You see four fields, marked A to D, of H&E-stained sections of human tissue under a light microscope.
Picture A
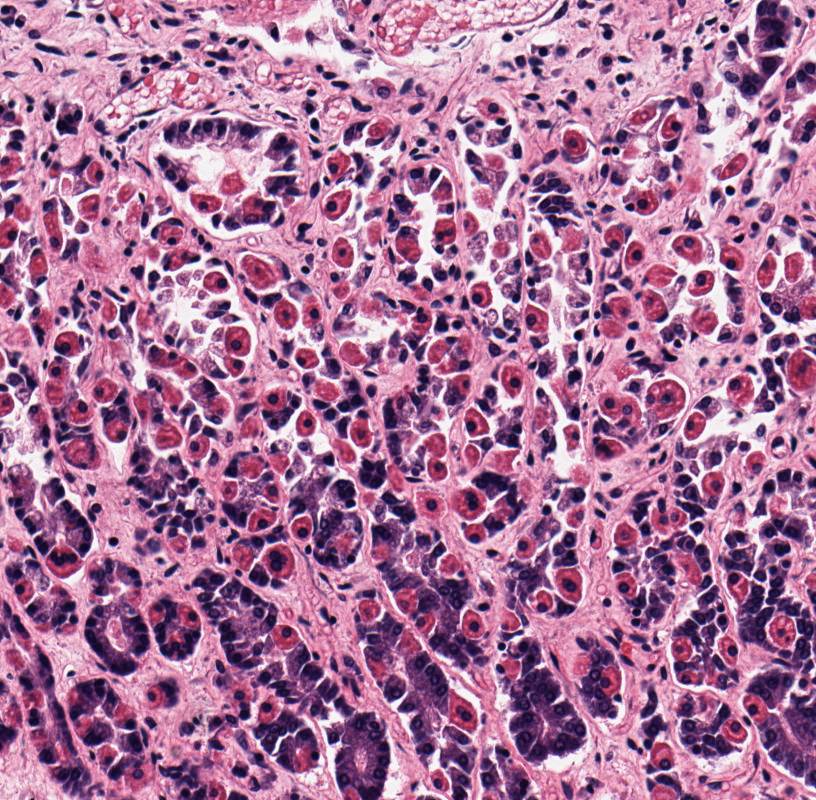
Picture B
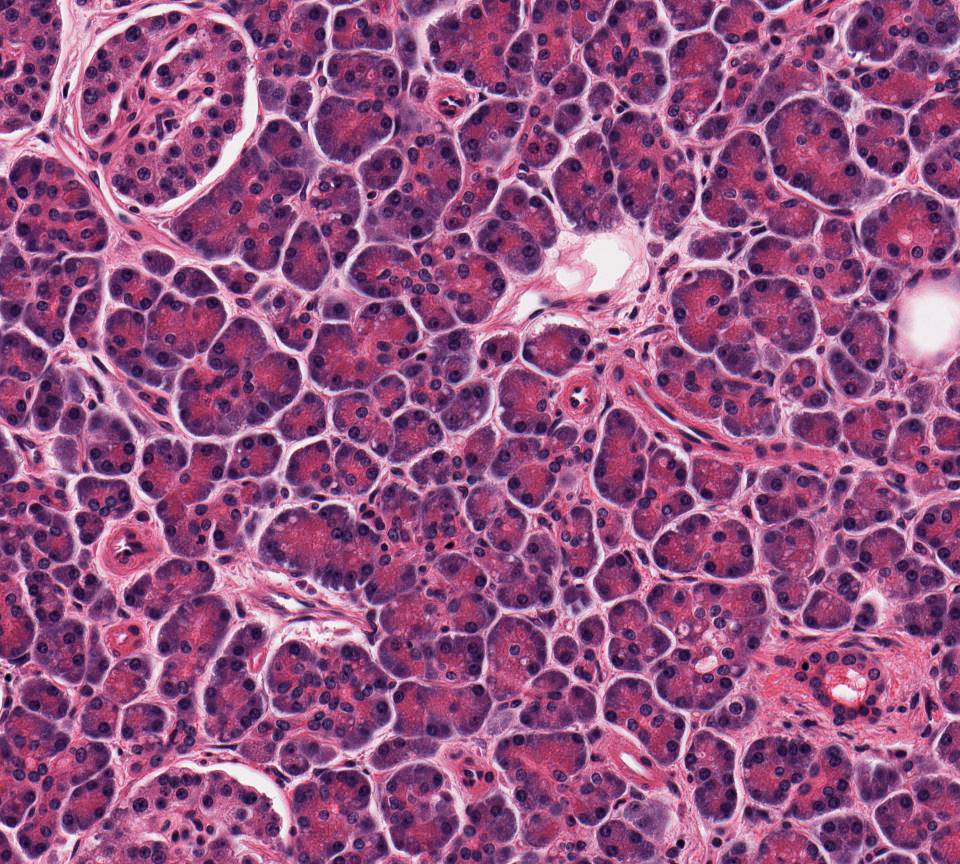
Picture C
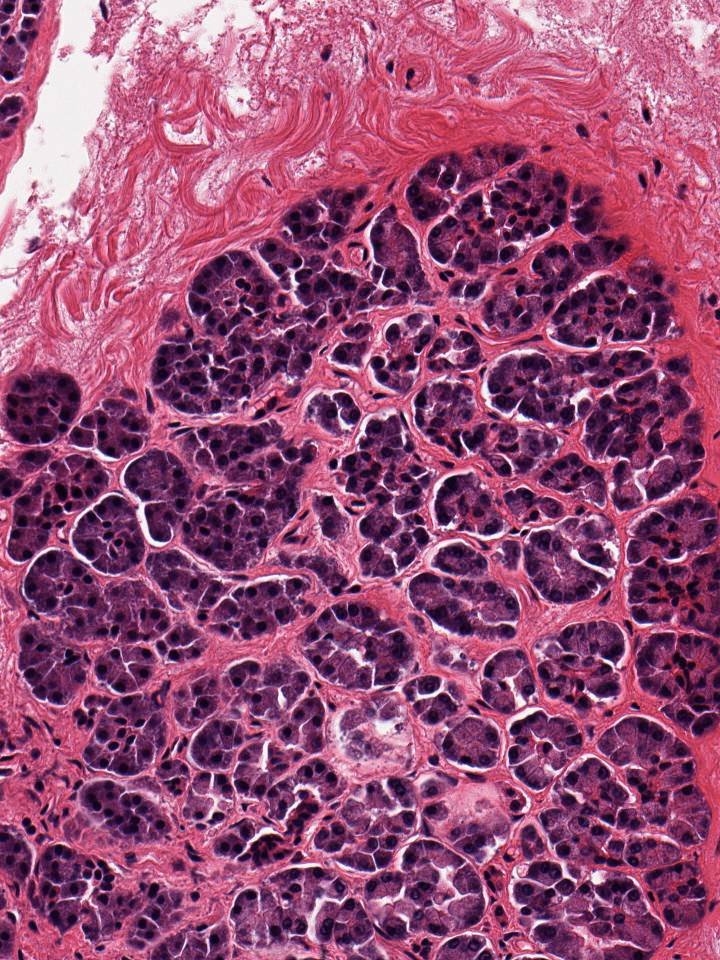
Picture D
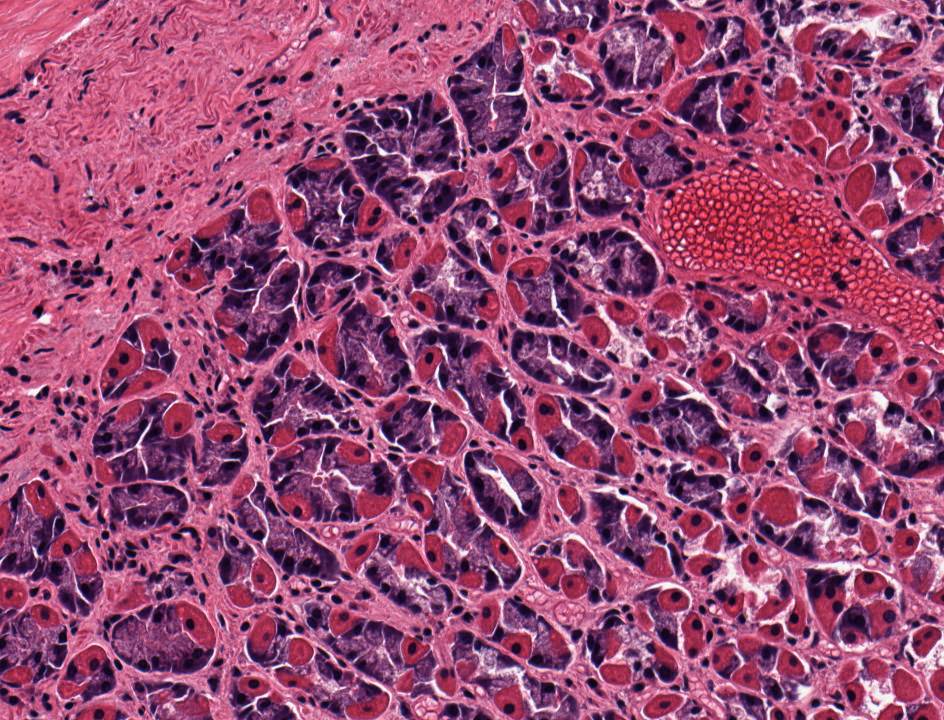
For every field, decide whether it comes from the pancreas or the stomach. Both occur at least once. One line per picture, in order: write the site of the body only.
stomach
pancreas
pancreas
stomach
